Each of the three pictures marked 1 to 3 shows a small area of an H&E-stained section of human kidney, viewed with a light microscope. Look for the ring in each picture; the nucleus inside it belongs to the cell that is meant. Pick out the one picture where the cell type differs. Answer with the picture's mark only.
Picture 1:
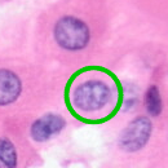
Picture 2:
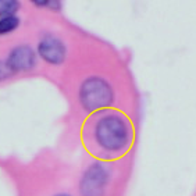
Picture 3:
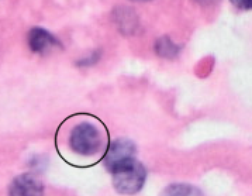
3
